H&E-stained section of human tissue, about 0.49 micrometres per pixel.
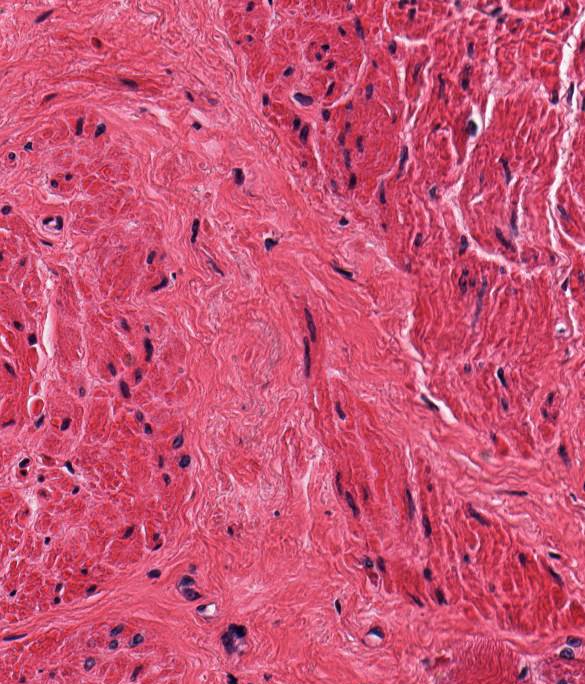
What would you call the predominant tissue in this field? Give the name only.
fibromuscular stroma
